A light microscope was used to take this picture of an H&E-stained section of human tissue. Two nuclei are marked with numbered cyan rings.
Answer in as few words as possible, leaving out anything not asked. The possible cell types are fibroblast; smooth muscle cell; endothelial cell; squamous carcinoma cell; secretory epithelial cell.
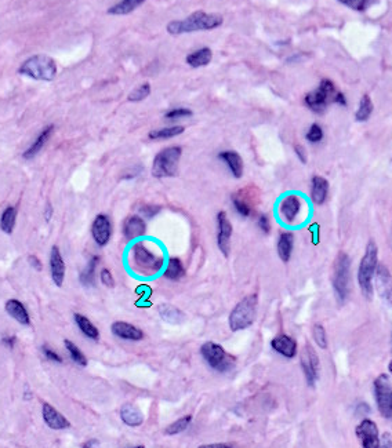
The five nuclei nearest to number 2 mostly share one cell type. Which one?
endothelial cell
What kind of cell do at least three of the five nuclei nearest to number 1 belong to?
fibroblast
